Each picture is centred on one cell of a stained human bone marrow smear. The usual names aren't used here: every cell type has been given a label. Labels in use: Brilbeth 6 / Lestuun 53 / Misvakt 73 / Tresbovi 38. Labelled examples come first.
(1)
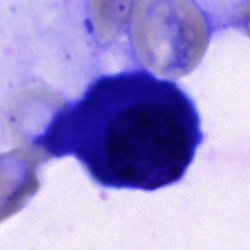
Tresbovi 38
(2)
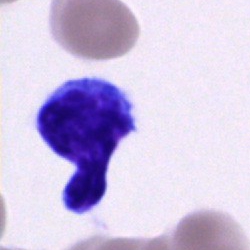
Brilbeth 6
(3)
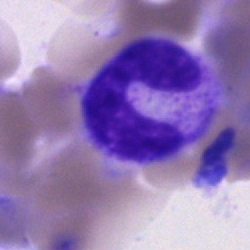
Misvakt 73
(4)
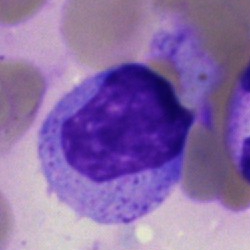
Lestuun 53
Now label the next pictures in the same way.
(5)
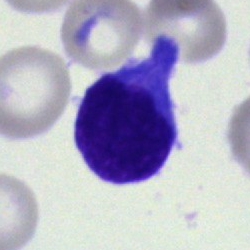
Brilbeth 6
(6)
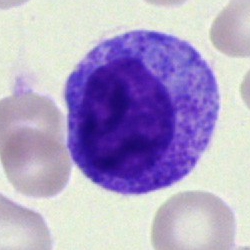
Lestuun 53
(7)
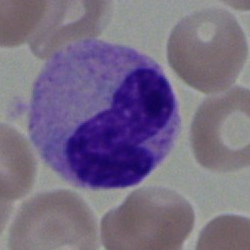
Misvakt 73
